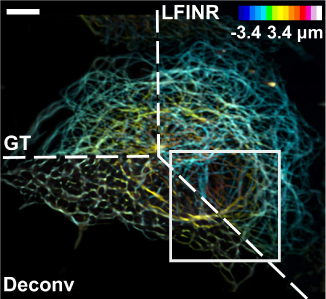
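This is a single flattened cell whose whole body is filled with microtubules, shown as a dense web of long, thin filaments. The filaments run long distances, curve gently and criss-cross, forming a lattice that reaches out to the cell margin. Toward the lower right and centre, warmer colours dominate, while the outer parts are mostly cool blue.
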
